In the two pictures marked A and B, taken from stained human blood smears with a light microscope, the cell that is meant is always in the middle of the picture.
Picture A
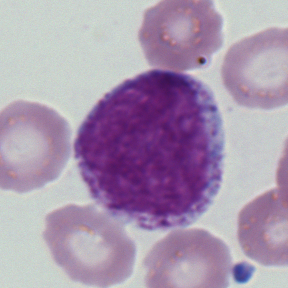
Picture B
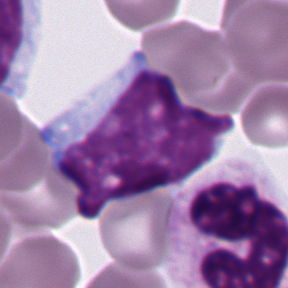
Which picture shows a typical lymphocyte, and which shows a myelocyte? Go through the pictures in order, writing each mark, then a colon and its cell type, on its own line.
A: myelocyte
B: typical lymphocyte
